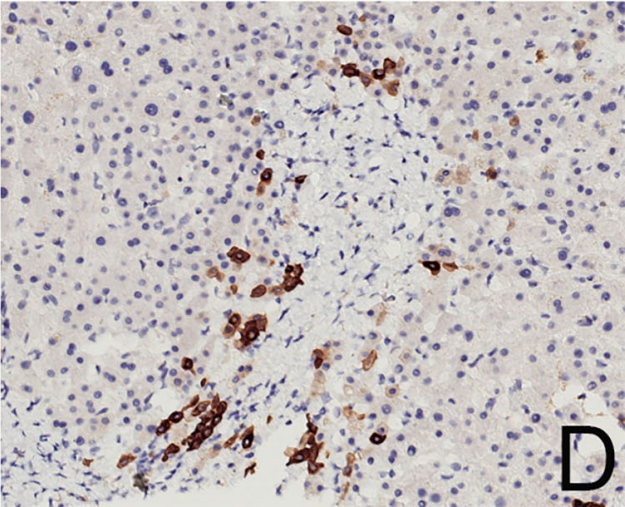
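Liver tissue with hepatocytes and a portal area. Most hepatocytes are unstained with blue round nuclei, but scattered single and small groups of hepatocytes, mostly at the edge of a looser pale portal area, show strong brown cytoplasmic staining. Some hepatocytes near the stained ones show faint brown tint.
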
